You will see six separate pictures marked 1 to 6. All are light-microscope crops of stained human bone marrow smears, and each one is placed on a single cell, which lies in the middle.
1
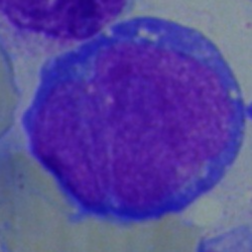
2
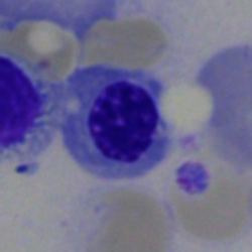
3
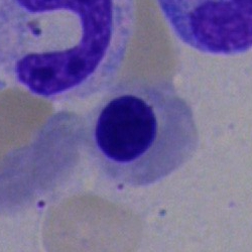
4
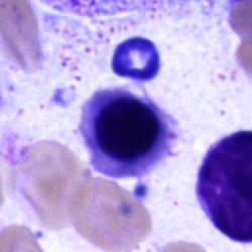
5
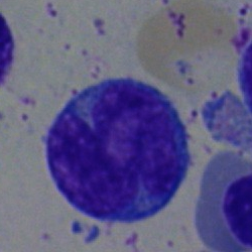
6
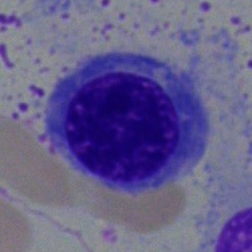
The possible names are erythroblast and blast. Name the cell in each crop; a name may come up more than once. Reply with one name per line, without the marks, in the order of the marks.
blast
erythroblast
erythroblast
erythroblast
blast
erythroblast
